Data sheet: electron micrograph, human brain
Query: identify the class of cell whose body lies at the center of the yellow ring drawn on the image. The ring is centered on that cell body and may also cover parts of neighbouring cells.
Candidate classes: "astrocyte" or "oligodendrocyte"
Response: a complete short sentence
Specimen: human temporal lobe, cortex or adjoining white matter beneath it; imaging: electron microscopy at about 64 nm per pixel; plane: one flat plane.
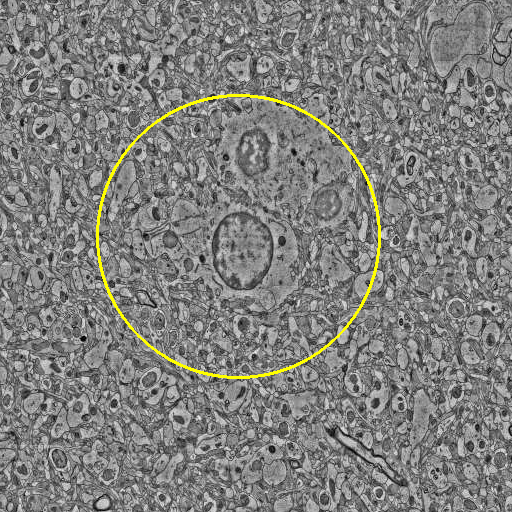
At the center of the ring lies an astrocyte.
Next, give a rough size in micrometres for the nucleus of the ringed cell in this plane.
The nucleus works out at approximately 5 by 4 micrometres in this plane.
